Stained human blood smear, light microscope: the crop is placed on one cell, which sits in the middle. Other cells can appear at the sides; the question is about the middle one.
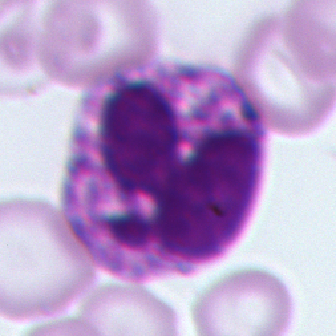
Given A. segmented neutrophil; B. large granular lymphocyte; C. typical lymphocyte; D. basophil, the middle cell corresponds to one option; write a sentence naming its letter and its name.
The cell shown centrally is a basophil; option D is the correct option.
